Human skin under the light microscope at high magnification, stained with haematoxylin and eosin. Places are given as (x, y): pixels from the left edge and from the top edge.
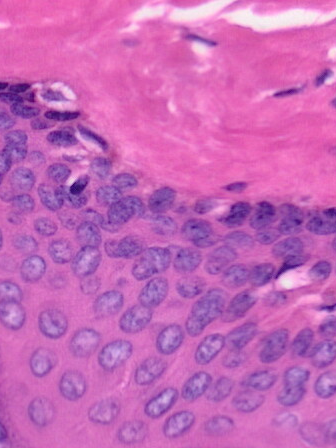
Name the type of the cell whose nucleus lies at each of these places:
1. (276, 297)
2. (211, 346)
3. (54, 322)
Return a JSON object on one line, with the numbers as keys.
{"1": "basal keratinocyte", "2": "suprabasal keratinocyte", "3": "suprabasal keratinocyte"}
